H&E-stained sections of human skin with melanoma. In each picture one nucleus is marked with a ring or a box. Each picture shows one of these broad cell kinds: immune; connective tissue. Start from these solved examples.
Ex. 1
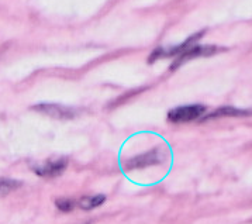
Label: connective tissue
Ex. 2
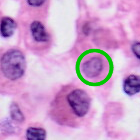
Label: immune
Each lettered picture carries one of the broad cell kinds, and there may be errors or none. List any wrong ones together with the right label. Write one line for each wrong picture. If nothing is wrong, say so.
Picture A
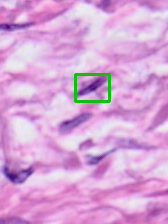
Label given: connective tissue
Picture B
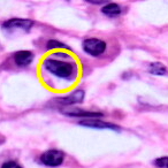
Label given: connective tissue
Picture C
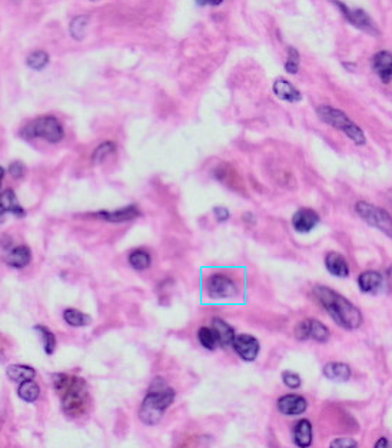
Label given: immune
B is labelled connective tissue; correct label: immune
